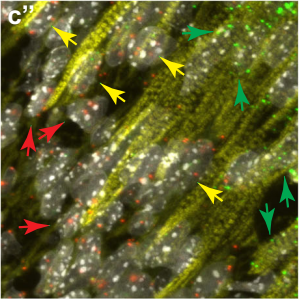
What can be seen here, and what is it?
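The nuclei are oval, some elongated along the fibres, and carry bright grey spots. Small red and green dots are scattered over and between the nuclei. Some nuclei near the fibre ends carry both red and green dots.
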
